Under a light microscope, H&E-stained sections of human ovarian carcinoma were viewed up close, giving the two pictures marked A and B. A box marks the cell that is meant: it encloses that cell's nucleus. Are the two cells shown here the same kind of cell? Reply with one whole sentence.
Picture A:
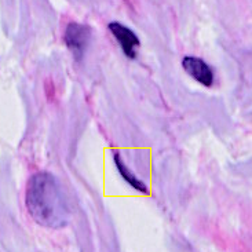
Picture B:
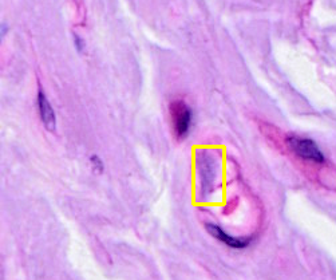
No, picture A shows a fibroblast and picture B shows an endothelial cell.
